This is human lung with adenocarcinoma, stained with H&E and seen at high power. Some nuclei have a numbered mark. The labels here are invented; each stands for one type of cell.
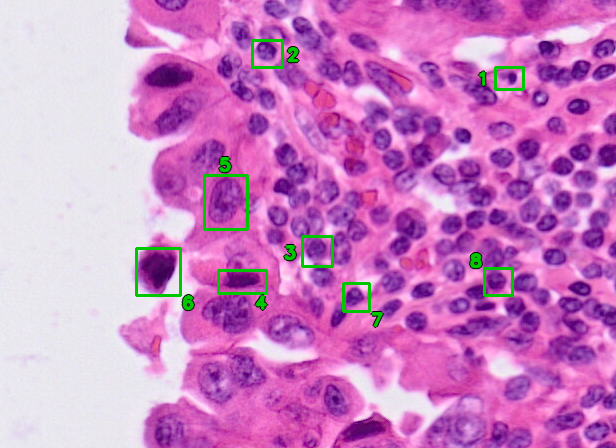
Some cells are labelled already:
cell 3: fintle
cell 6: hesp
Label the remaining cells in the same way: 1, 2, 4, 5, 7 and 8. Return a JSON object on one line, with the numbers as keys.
{"1": "fintle", "2": "fintle", "4": "hesp", "5": "hesp", "7": "fintle", "8": "fintle"}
